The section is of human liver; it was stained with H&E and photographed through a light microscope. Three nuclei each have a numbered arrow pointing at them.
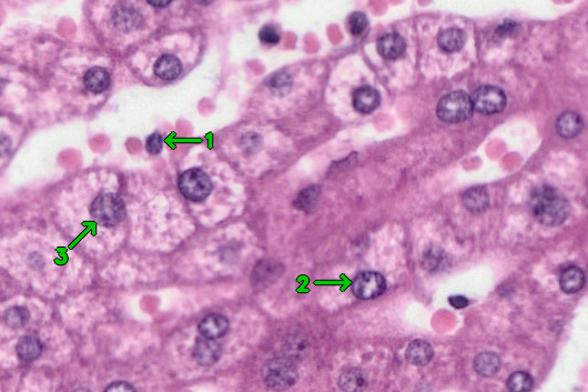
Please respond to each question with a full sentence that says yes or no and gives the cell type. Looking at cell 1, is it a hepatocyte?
No, cell 1 is a lymphocyte and should not be called a hepatocyte.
